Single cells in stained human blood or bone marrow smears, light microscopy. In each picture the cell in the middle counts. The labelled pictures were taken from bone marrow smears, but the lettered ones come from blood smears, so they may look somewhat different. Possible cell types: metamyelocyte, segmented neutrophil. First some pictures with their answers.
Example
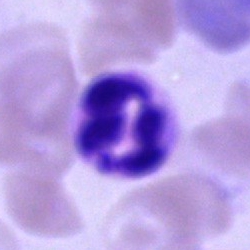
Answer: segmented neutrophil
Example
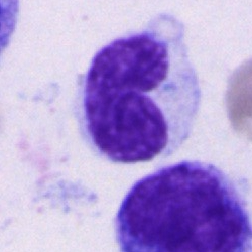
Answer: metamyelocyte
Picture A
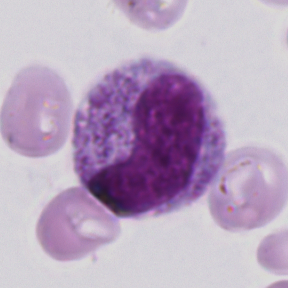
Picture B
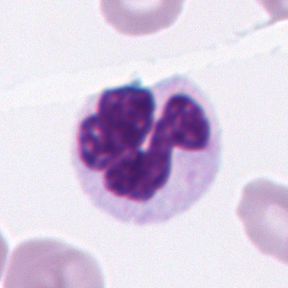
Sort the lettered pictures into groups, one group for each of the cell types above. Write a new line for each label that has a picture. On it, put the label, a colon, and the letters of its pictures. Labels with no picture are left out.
metamyelocyte: A
segmented neutrophil: B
